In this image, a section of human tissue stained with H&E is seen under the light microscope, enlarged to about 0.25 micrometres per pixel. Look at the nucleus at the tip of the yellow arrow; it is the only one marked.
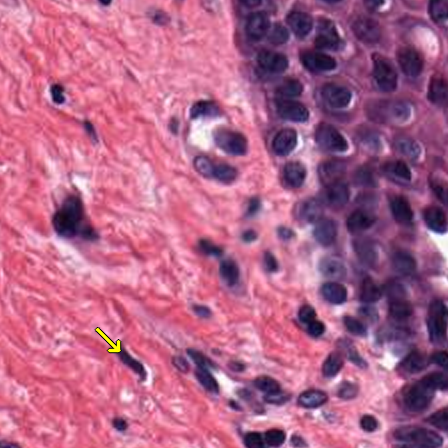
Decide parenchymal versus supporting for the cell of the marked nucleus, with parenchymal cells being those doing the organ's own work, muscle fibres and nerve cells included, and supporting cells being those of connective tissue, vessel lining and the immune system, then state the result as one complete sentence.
The marked nucleus belongs to a cell, and that cell is a supporting cell.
